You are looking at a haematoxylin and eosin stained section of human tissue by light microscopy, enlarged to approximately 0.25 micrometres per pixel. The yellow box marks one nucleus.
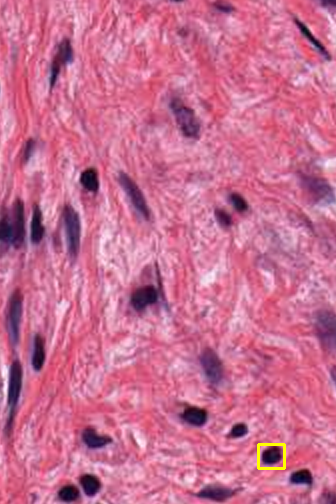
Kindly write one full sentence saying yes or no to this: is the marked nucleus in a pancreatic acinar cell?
No, the marked nucleus, which belongs to a supporting cell, is not part of a pancreatic acinar cell.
